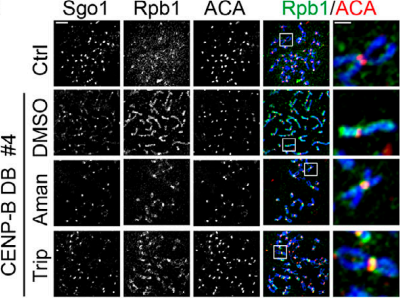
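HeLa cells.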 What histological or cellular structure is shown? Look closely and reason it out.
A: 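Individual condensed chromosomes lie scattered apart from one another. Paired dot-like signals mark one spot on each chromosome. The answer: chromosome spread.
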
